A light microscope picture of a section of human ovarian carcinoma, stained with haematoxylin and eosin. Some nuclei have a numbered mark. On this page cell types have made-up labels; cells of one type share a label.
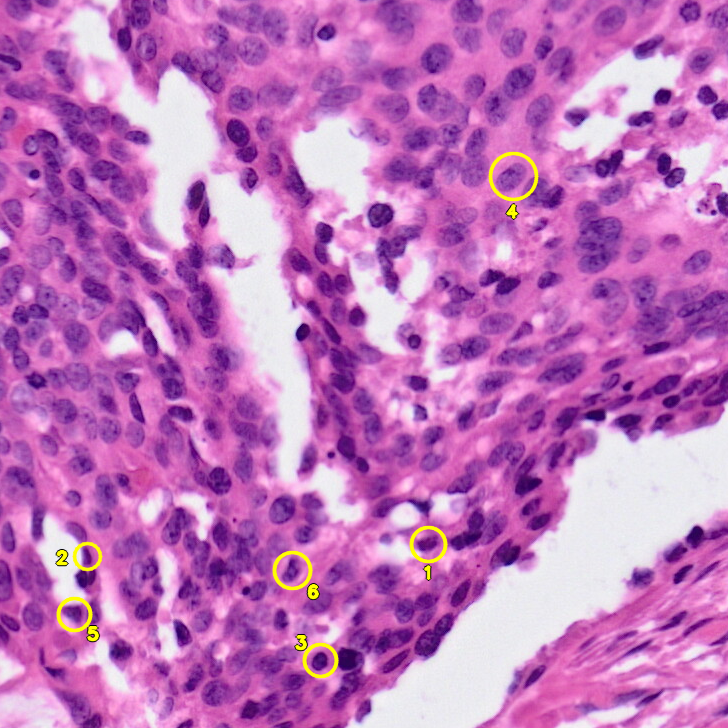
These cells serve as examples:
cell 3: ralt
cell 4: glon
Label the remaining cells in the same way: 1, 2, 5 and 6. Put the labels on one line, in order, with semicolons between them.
glon; glon; glon; ralt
